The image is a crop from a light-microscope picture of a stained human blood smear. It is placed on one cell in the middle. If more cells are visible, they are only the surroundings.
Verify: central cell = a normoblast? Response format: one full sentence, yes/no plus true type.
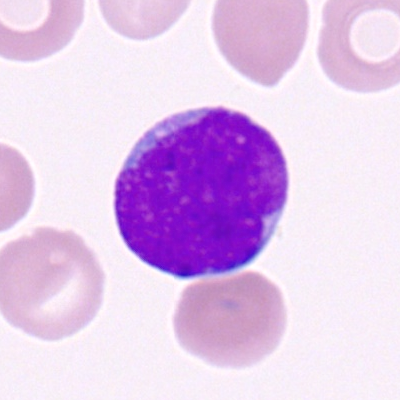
No, the identification should read a myeloblast, not a normoblast, for the central cell.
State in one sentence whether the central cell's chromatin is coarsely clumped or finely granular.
The key point is fine chromatin with no coarse clumps.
